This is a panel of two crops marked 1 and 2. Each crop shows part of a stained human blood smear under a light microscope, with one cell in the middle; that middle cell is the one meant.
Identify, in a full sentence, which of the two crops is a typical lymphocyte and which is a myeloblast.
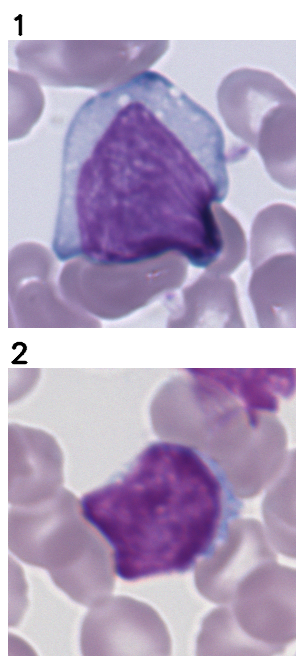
Crop 1 is a myeloblast, and crop 2 is a typical lymphocyte.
